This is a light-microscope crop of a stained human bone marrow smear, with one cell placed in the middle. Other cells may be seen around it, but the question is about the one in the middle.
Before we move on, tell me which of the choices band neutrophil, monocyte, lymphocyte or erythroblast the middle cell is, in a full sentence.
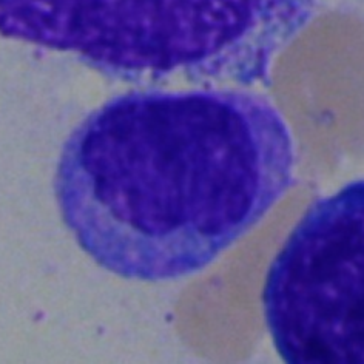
For this crop, the central cell is a monocyte.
